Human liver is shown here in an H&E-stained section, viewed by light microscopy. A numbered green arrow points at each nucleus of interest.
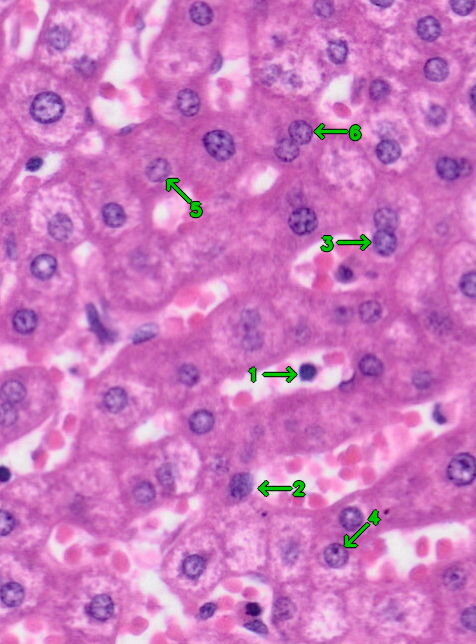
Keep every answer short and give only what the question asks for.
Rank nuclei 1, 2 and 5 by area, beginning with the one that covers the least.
1, 5, 2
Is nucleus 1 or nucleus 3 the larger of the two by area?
3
